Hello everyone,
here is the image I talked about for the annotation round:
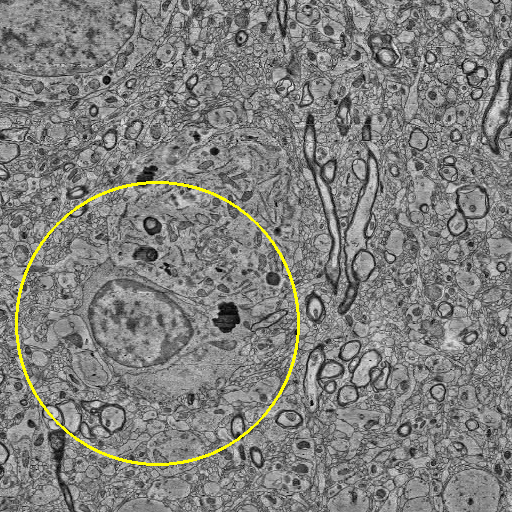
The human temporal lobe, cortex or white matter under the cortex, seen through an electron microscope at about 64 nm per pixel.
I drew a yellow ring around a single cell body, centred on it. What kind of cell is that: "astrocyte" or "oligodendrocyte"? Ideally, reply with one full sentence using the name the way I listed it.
The cell your yellow ring is centred on is an oligodendrocyte, going by your list.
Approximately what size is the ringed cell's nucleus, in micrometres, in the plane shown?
In this plane, roughly 7 by 6 micrometres.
